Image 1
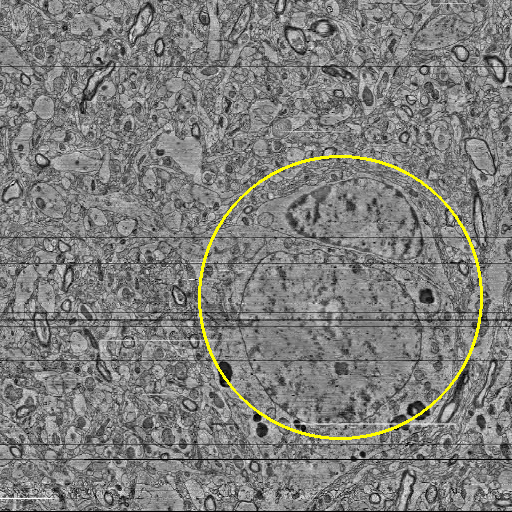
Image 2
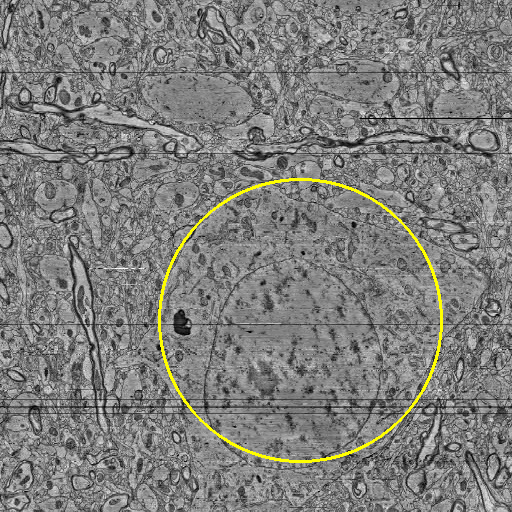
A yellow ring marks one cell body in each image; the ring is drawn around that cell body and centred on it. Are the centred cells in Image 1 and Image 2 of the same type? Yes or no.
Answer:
yes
